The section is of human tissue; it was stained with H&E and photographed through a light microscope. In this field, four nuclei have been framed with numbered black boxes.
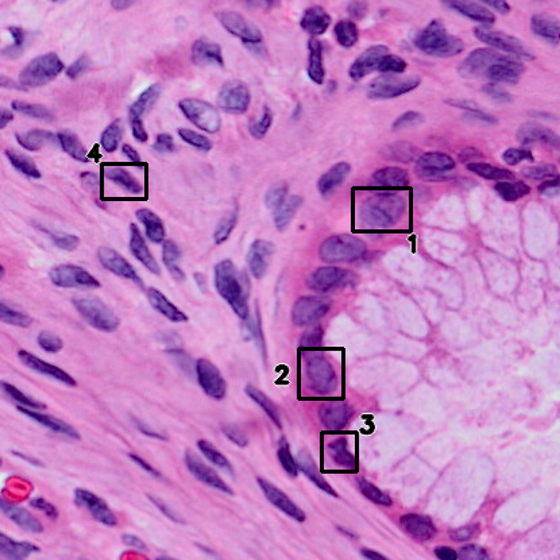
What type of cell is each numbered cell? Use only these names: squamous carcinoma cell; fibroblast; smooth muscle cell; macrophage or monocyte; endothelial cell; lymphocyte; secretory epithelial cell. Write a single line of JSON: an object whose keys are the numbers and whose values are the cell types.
{"1": "secretory epithelial cell", "2": "secretory epithelial cell", "3": "secretory epithelial cell", "4": "fibroblast"}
